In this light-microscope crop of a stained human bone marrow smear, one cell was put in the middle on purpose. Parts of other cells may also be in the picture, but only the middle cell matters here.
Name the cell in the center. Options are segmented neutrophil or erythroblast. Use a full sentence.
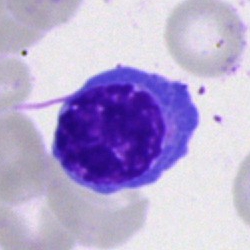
The center cell of this crop is an erythroblast.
